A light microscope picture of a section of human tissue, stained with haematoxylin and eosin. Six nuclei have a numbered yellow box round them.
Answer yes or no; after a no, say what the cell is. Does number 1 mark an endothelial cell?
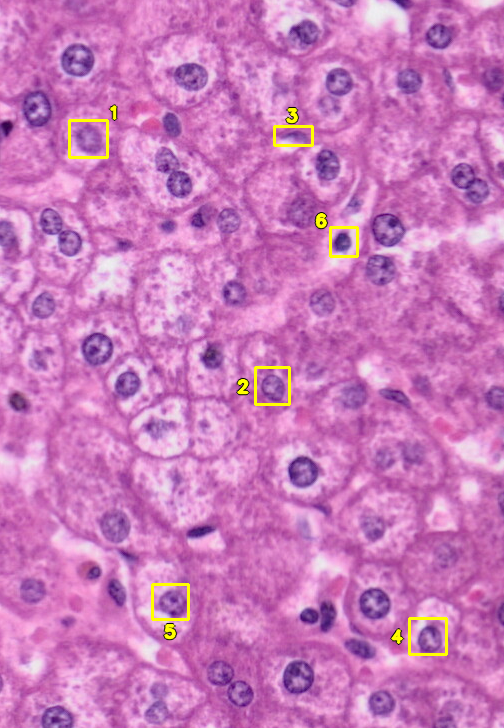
No, it is a hepatocyte.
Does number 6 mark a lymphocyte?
Yes.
